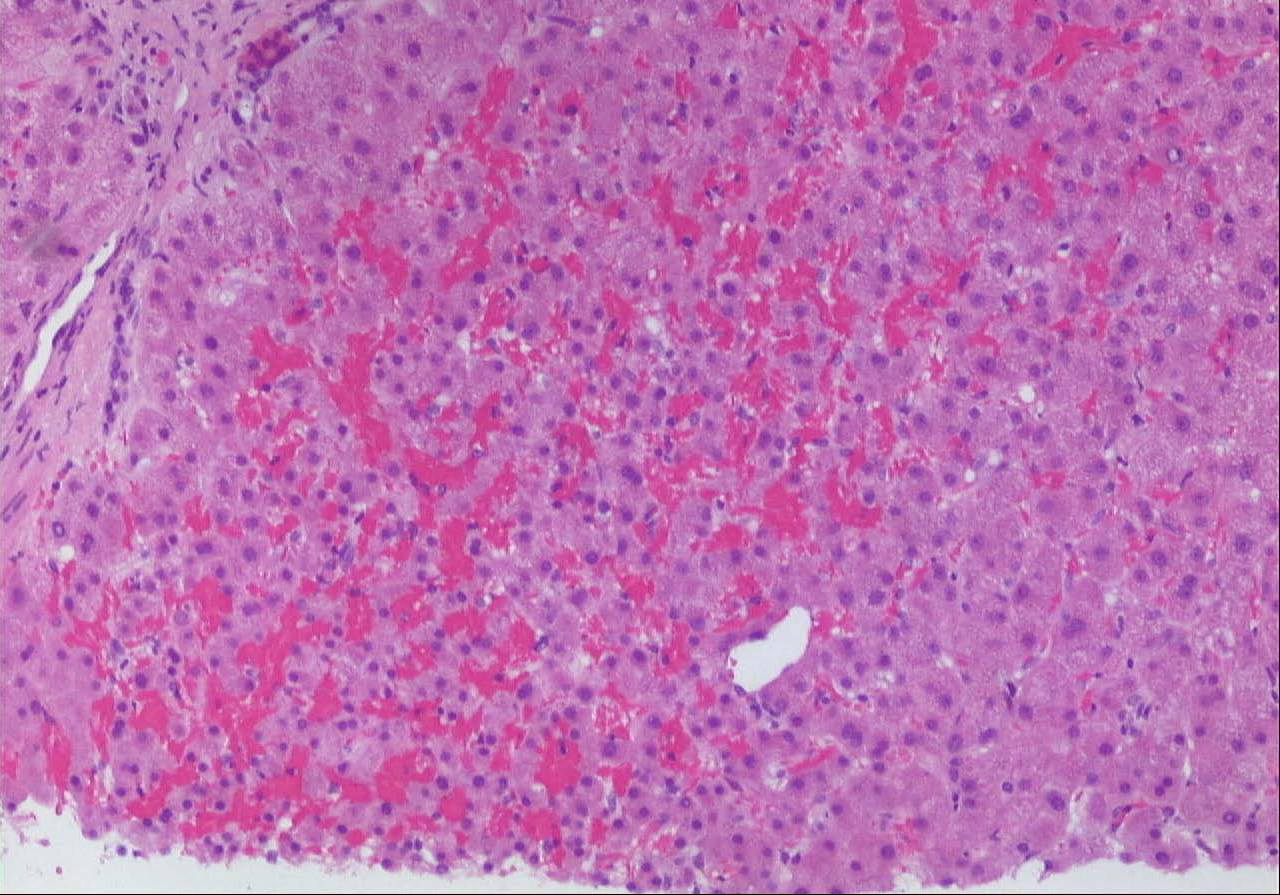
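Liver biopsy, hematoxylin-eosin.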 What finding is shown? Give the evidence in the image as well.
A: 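Heterogenous congestion of the sinusoids. Many spaces between the plates of liver cells are filled with bright red material. The red-filled spaces are dense in the left and central parts of the field and sparse toward the right.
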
